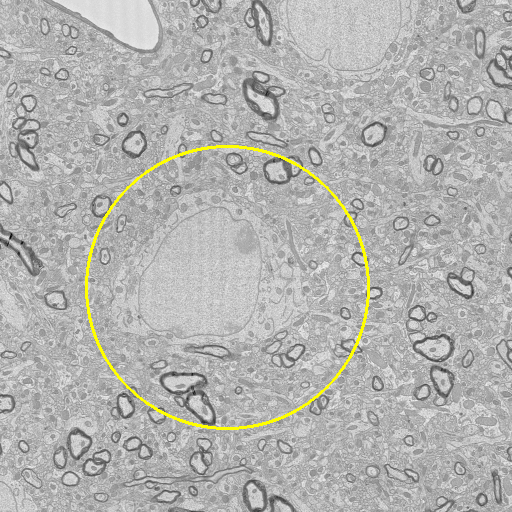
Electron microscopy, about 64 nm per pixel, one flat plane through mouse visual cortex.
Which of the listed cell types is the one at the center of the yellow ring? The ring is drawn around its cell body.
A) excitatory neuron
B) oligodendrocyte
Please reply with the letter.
A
